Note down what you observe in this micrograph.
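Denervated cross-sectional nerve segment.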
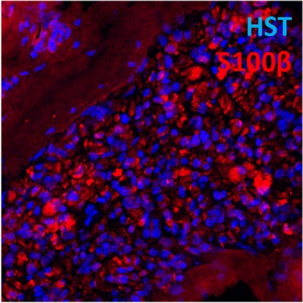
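The red cytoplasm outlines the cells in a dense mosaic, and scattered cells stand out as larger, brighter red rounded bodies. Toward the upper left the cellular area gives way to a band of looser, less cellular tissue with only a faint diffuse red haze and few nuclei, likely the surrounding connective sheath.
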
